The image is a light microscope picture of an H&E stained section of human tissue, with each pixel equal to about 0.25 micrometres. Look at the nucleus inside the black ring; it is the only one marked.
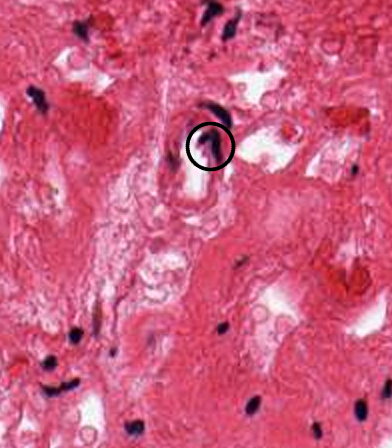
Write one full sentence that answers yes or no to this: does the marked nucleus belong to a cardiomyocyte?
No, not a cardiomyocyte but a supporting cell is the owner of the marked nucleus.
